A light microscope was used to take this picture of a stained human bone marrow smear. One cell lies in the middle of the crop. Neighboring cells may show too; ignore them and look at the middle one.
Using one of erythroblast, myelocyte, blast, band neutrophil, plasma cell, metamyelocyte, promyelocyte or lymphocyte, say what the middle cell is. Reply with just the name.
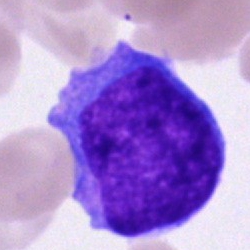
blast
